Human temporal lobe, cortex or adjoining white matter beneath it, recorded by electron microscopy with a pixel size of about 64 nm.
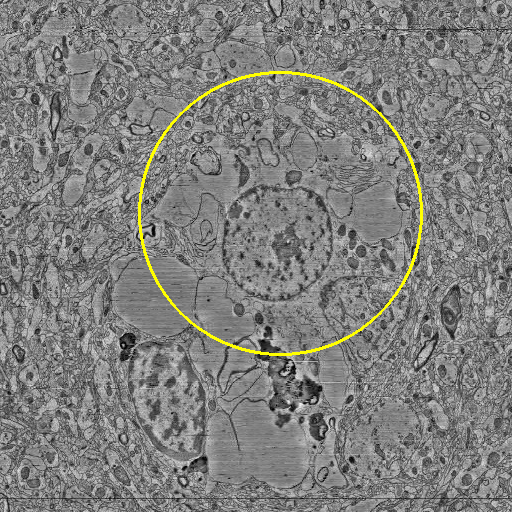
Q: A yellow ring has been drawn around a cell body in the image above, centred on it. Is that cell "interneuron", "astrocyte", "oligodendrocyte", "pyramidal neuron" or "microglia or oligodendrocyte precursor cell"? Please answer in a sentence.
The ring surrounds the cell body of an astrocyte.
